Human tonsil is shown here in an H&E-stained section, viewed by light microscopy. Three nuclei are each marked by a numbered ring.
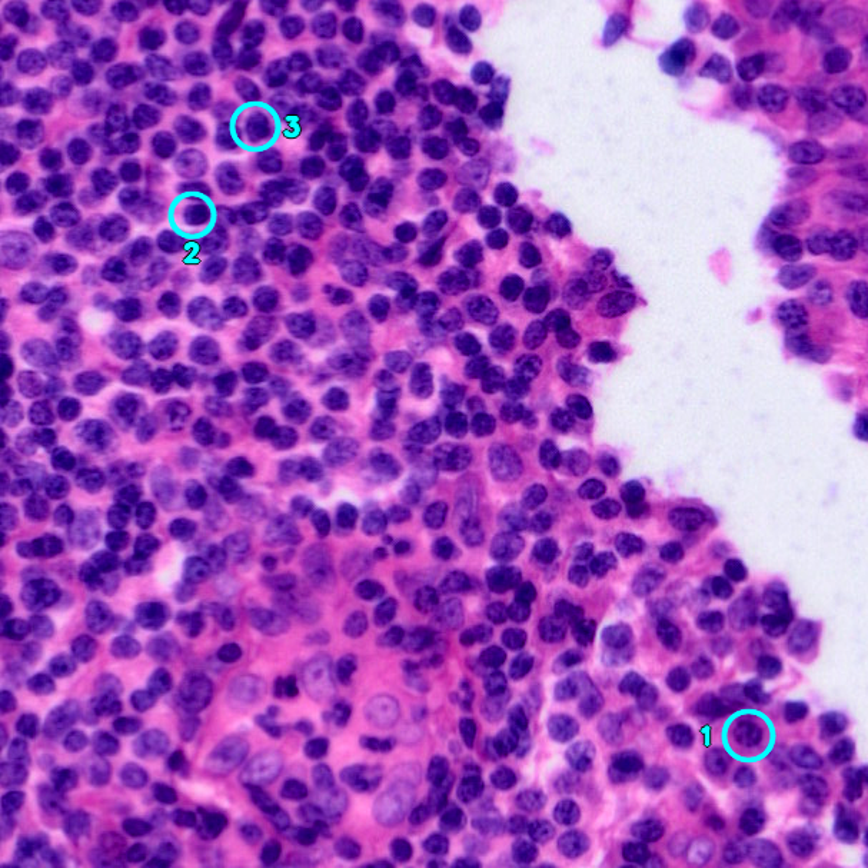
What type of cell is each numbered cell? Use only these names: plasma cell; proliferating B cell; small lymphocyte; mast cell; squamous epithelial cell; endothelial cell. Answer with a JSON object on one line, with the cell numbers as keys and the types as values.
{"1": "plasma cell", "2": "small lymphocyte", "3": "small lymphocyte"}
